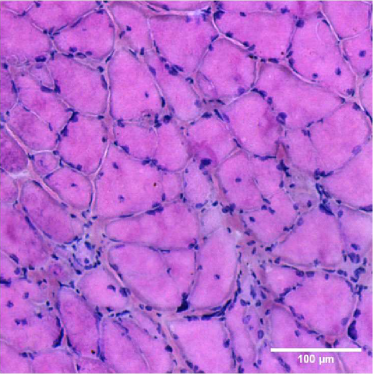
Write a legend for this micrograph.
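A cross section of skeletal muscle with pink fibers of very uneven size, small rounded fibers lying among larger polygonal ones. Some fibers carry dark purple nuclei in their interior instead of at the edge, and groups of small dark nuclei crowd the widened spaces between fibers.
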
